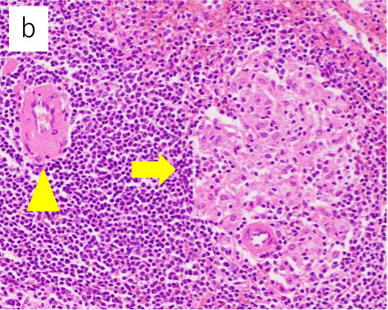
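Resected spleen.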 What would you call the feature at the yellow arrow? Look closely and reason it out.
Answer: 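Noncaseating epithelioid granulomas. A pale pink area of cells with abundant eosinophilic cytoplasm and elongated nuclei. It is surrounded by densely packed small lymphocytes. No central necrosis is visible.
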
